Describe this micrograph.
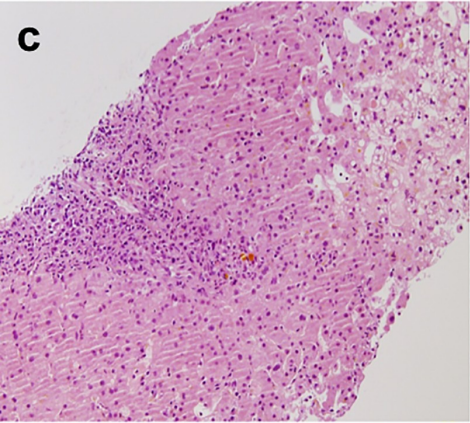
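Liver tissue in which a portal tract is heavily infiltrated by lymphocytes, seen as a dense band of small cells with round, dark purple nuclei and little cytoplasm. On either side, hepatocytes with pink cytoplasm and round central nuclei are arranged in cords separated by sinusoids. No lymphoid follicles are formed within the infiltrate.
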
